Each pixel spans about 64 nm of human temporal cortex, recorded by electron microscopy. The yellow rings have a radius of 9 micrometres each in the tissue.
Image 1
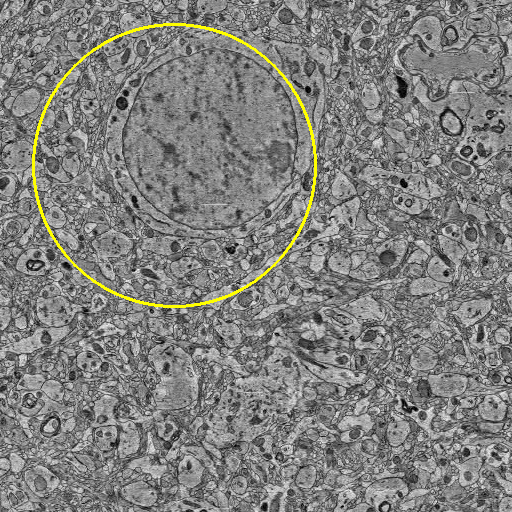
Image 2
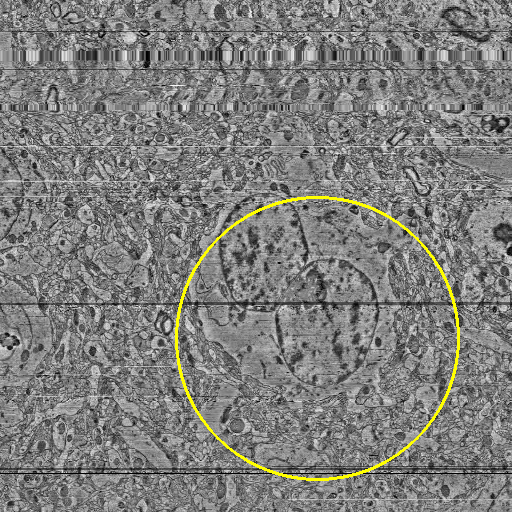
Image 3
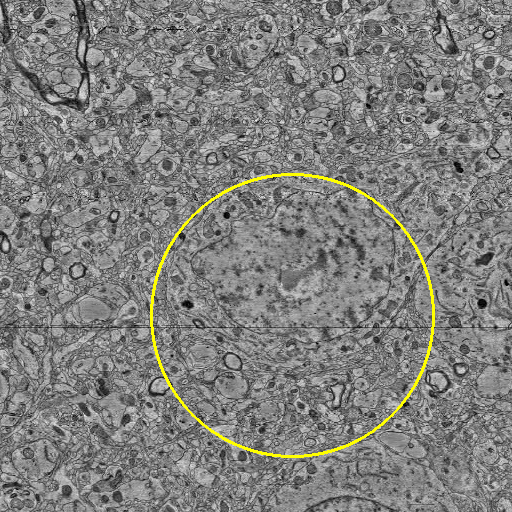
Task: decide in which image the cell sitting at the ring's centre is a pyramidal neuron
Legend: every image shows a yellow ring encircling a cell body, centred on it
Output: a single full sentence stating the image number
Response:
In image 1, the cell at the middle of the ring is the match.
